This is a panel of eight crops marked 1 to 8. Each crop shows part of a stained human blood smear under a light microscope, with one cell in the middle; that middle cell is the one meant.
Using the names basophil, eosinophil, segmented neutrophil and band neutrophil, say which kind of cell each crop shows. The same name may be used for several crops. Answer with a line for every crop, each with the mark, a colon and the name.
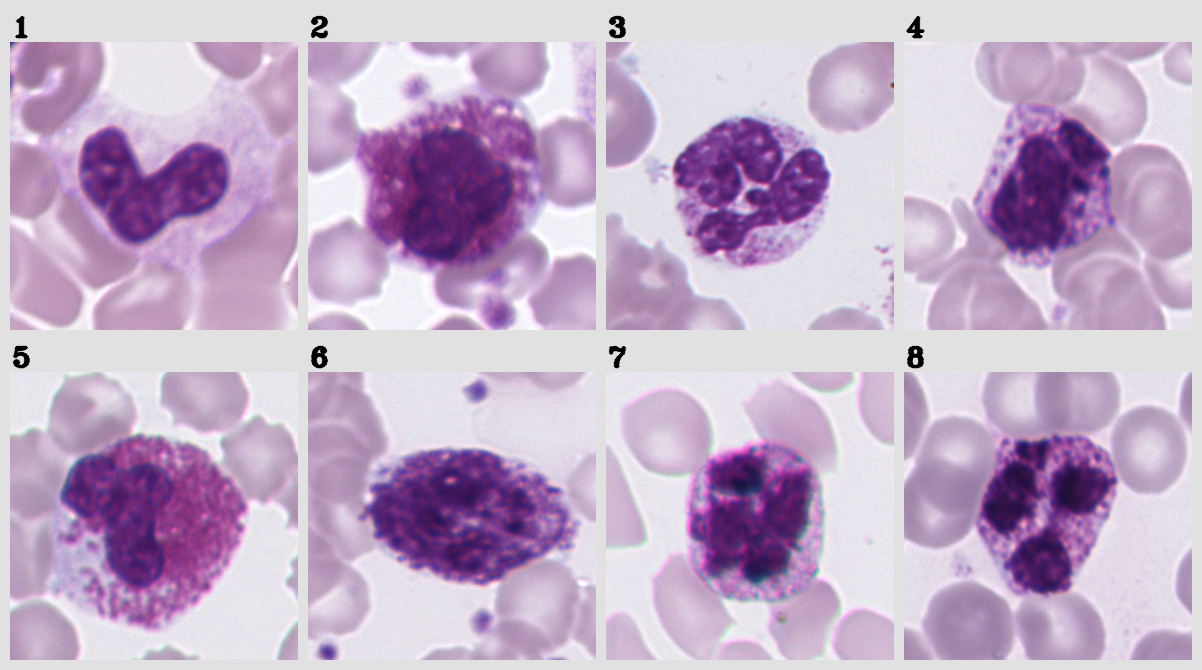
1: band neutrophil
2: eosinophil
3: segmented neutrophil
4: basophil
5: eosinophil
6: basophil
7: basophil
8: basophil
